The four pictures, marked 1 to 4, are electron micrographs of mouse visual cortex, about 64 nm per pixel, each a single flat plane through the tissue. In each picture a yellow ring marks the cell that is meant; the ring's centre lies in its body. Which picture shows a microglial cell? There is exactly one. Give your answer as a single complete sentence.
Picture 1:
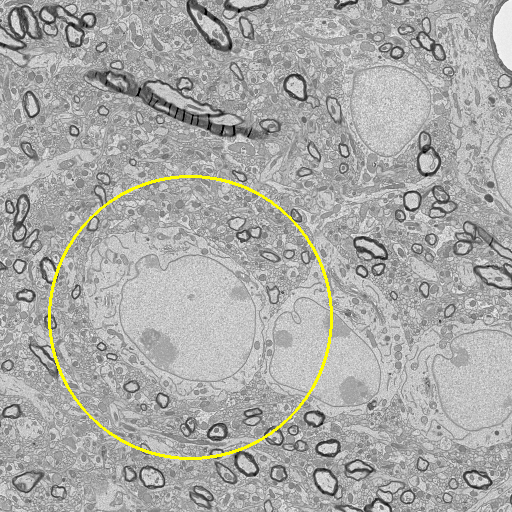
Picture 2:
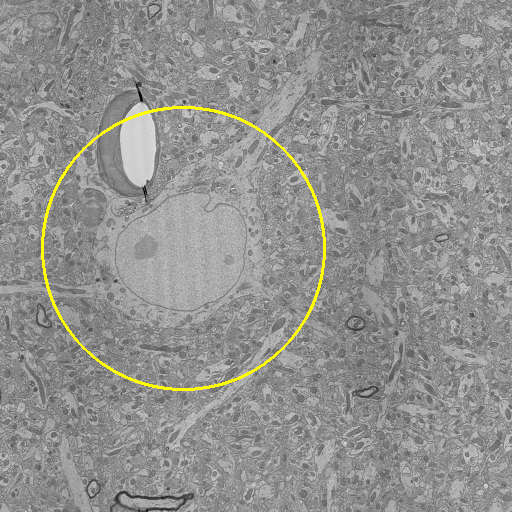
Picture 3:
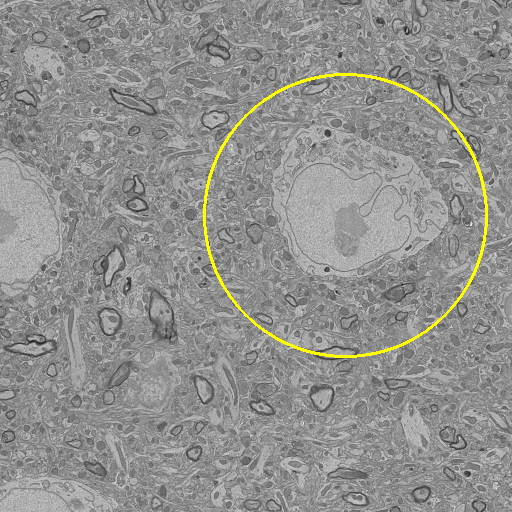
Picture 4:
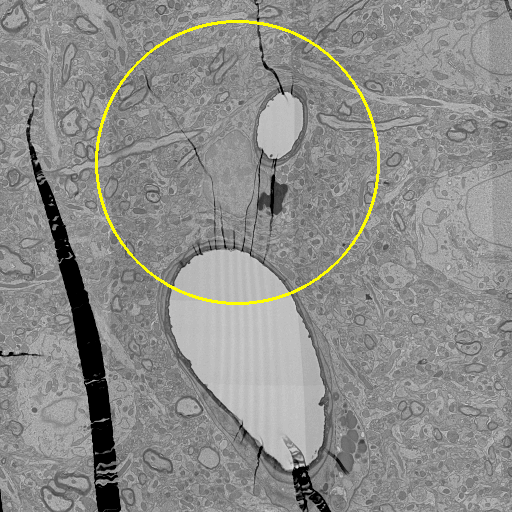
The cell in picture 4 is the microglial cell.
